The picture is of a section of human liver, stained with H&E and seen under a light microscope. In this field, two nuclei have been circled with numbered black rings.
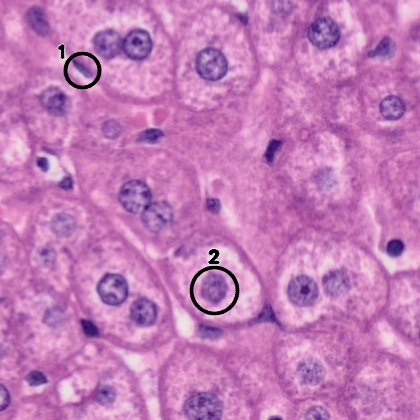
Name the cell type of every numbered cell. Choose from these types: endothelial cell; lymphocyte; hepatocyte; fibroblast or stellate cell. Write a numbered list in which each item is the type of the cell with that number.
1. endothelial cell
2. hepatocyte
